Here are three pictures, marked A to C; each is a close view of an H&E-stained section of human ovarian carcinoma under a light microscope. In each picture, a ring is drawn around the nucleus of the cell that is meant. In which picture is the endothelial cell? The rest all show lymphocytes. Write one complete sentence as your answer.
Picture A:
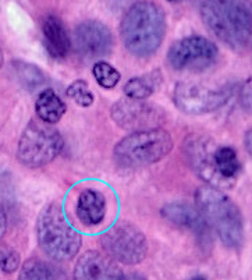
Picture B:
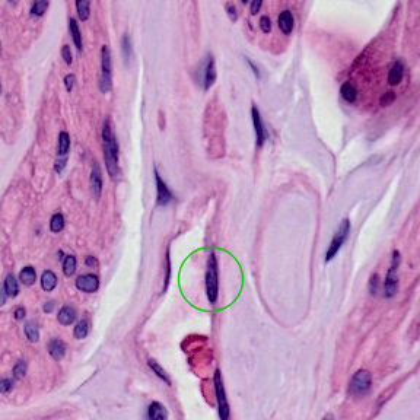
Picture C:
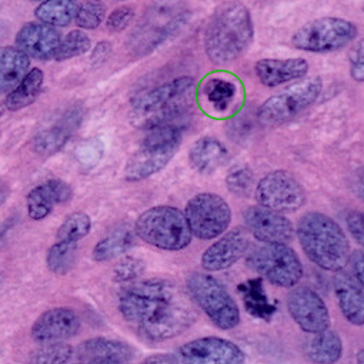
The endothelial cell is the one in picture B.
